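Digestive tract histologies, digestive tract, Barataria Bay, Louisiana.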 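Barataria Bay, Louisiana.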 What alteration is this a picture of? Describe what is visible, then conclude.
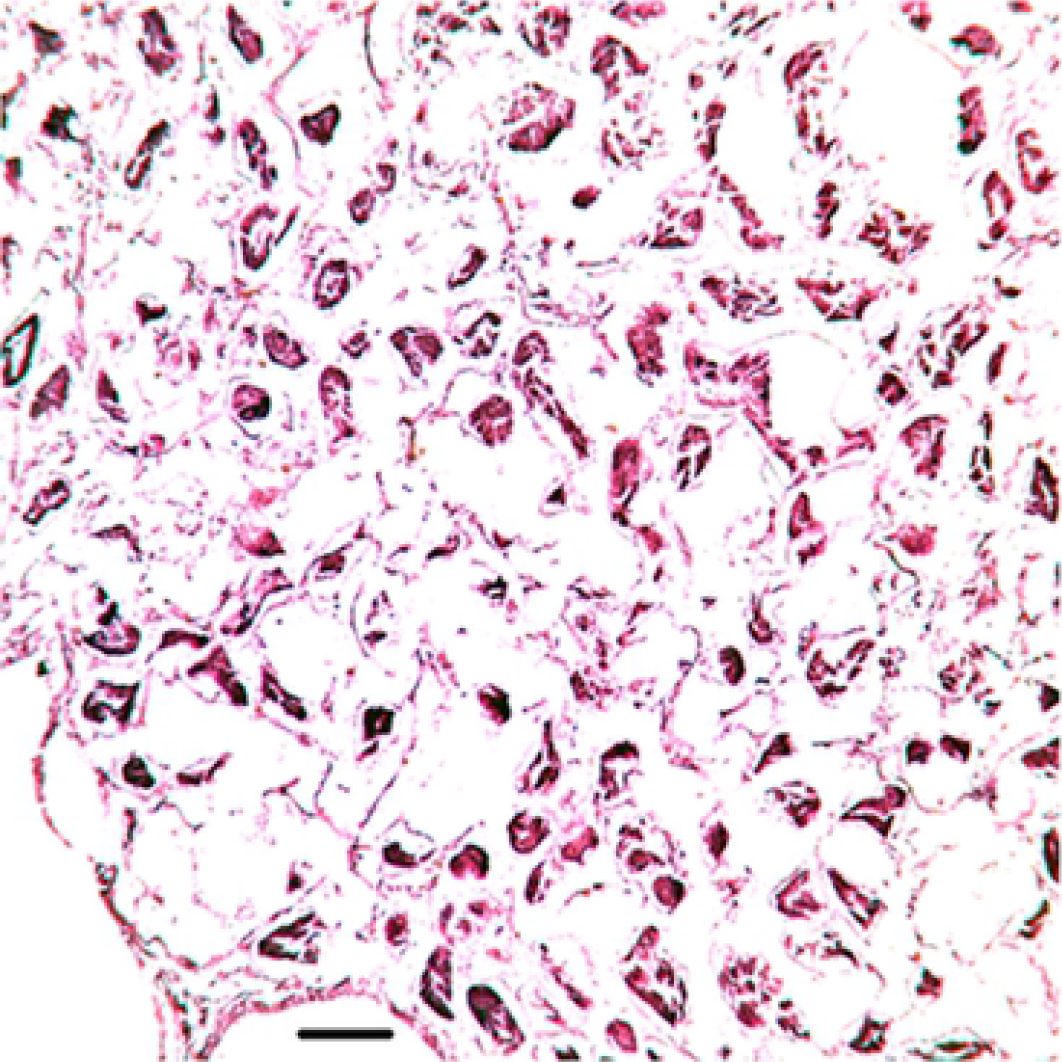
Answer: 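A loss of epithelial integrity. Dark-stained cells lie in small isolated clusters rather than a continuous layer. The clusters sit within loose, pale, vacuolated tissue with many empty spaces.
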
